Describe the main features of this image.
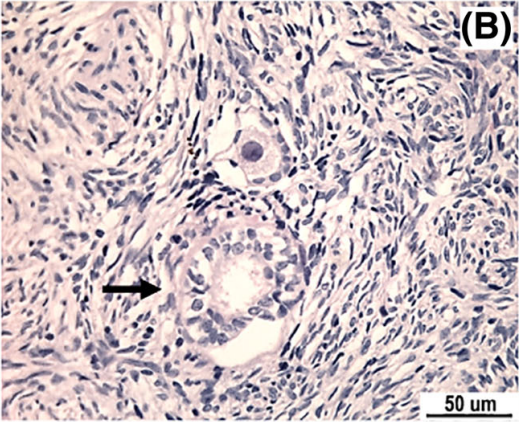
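This H&E section shows follicles set in a dense stroma of spindle-shaped cells with elongated, dark purple nuclei arranged in swirling bundles. In the upper middle lies a large round cell with pale pink cytoplasm and a single dark, round nucleus, surrounded by a thin layer of flattened cells. Below it is a round follicle whose wall is formed by a ring of several cuboidal cells with round nuclei around a pale central space. The cells lining this follicle are not evenly spaced, and its outline is somewhat irregular.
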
